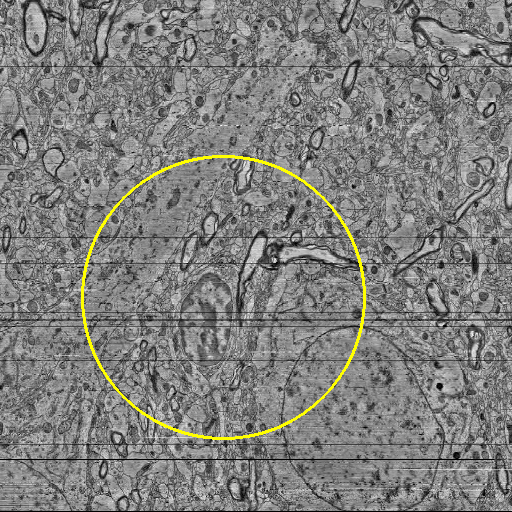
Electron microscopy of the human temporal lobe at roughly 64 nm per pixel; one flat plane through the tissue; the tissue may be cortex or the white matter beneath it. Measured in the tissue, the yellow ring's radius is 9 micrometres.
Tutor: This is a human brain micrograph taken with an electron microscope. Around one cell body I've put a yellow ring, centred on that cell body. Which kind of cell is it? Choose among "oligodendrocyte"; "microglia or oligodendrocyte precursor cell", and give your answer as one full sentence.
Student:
Going by your list, the cell centred in the yellow ring is a microglial cell or oligodendrocyte precursor cell.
